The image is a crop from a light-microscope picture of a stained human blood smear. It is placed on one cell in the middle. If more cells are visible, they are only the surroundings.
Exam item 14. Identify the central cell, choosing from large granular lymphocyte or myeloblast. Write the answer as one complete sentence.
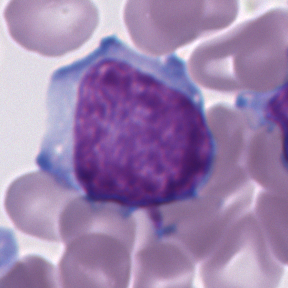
The centrally placed cell is classified as a myeloblast.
